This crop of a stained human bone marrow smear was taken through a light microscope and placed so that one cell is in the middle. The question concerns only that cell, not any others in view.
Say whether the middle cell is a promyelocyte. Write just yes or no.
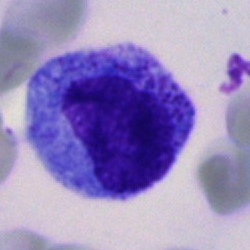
yes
